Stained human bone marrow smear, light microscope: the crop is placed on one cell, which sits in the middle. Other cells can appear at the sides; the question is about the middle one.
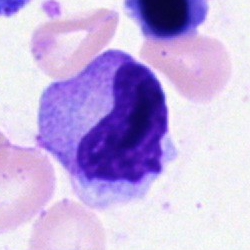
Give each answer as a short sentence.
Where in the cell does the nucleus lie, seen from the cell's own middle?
It is shifted toward the right of the cell.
